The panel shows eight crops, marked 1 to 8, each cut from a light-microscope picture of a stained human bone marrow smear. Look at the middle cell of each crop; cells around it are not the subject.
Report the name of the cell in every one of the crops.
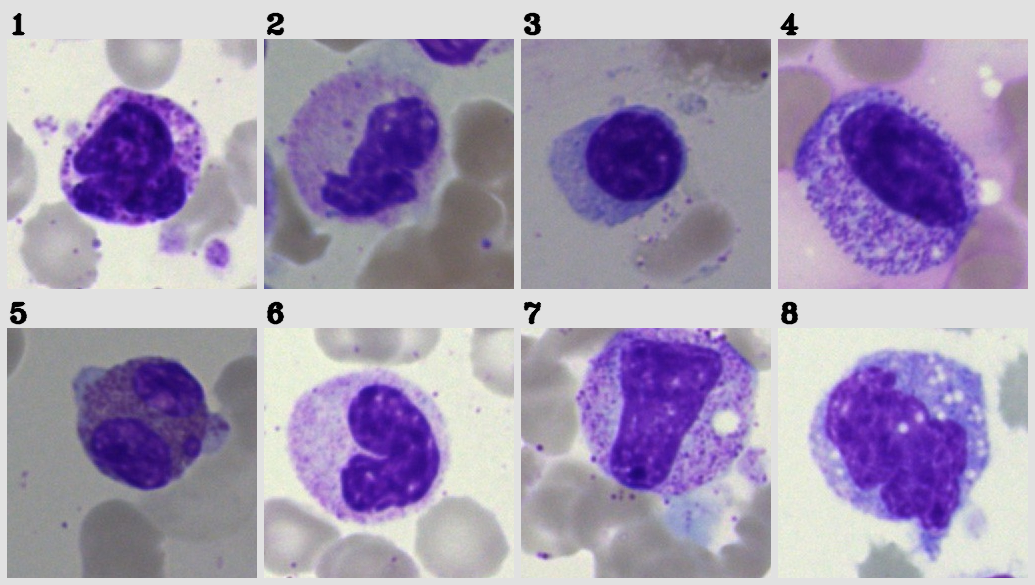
1: basophil
2: basophil
3: erythroblast
4: myelocyte
5: eosinophil
6: band neutrophil
7: metamyelocyte
8: monocyte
